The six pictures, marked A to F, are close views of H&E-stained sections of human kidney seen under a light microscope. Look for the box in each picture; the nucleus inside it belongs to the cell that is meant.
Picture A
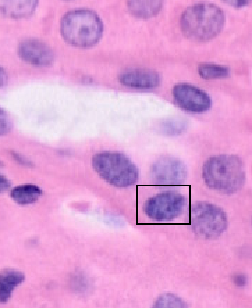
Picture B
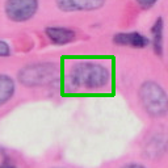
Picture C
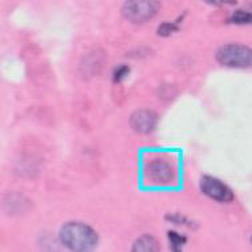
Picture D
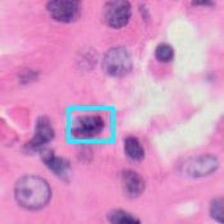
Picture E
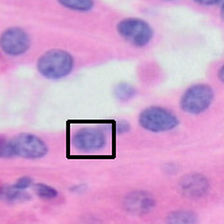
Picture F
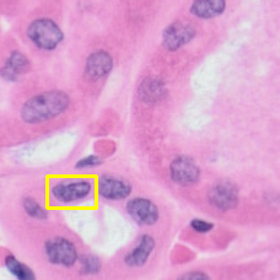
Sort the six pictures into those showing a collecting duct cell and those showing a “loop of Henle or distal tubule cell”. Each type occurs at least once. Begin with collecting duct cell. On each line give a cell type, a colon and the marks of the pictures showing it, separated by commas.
collecting duct cell: A, B, F
loop of Henle or distal tubule cell: C, D, E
